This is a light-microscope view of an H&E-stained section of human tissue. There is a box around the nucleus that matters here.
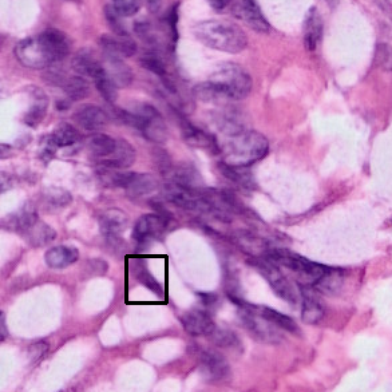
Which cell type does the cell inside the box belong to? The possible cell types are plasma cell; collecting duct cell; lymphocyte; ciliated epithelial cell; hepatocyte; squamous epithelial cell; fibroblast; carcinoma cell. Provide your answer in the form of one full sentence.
In the context of this tissue, the cell inside the box is a ciliated epithelial cell.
